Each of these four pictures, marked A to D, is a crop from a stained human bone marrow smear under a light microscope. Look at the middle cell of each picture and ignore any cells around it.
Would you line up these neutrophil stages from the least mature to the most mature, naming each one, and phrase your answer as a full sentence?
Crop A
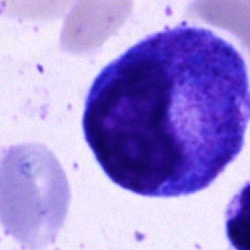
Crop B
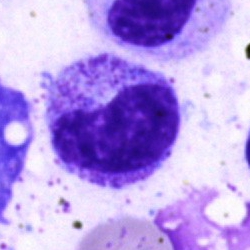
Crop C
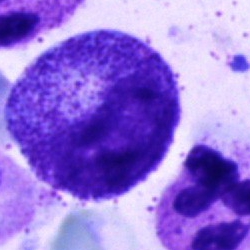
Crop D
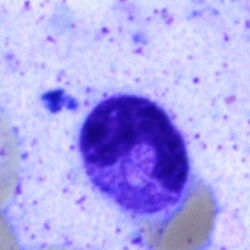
Least mature first and most mature last, the order is crop A (a promyelocyte), crop C (a myelocyte), crop B (a metamyelocyte) and crop D (a band neutrophil).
